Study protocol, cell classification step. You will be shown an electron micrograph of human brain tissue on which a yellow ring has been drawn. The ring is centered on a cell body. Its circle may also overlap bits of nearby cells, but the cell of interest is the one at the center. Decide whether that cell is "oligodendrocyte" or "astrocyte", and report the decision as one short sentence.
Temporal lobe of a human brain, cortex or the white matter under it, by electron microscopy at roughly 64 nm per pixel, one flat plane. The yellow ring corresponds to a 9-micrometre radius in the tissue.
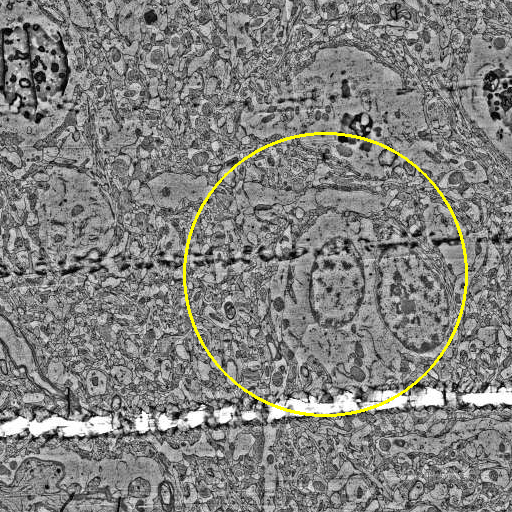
The marked cell is an astrocyte.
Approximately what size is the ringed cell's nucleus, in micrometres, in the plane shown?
About 6 by 4 micrometers, in this plane.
